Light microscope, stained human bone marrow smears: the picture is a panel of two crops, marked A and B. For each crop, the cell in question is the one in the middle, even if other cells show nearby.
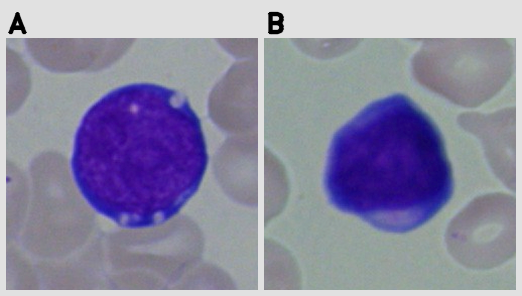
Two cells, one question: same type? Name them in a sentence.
Yes, both crops contain blasts at their centres.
